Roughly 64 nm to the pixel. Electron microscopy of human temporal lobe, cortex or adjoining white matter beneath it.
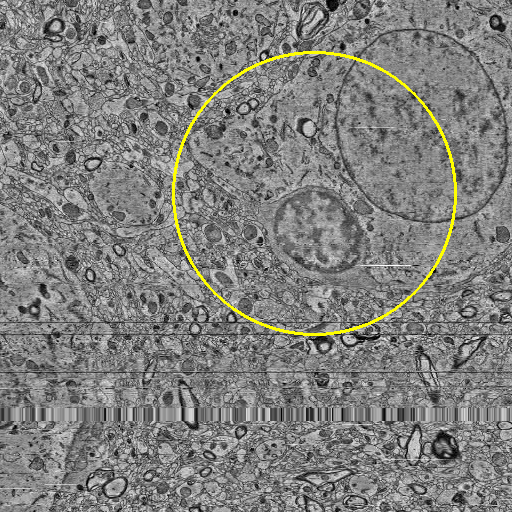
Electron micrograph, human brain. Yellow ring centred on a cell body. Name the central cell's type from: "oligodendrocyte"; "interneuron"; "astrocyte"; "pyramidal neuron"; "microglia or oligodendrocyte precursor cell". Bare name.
oligodendrocyte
